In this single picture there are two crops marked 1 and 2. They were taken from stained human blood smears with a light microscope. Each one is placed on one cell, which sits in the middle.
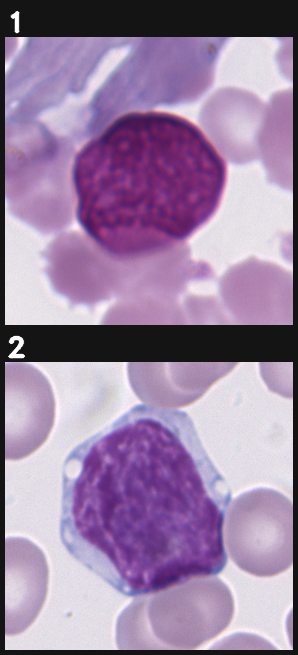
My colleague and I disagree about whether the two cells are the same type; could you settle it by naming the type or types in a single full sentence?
Yes, both crops show myeloblasts in the centre of the field.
